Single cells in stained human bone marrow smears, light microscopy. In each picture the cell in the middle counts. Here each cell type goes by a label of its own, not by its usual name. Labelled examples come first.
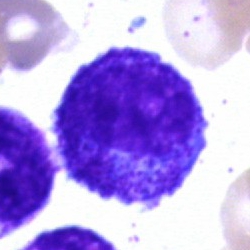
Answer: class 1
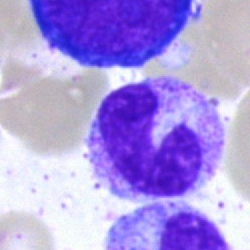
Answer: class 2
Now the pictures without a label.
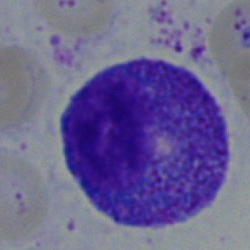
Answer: class 1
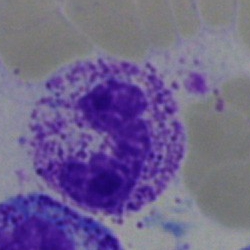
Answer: class 2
